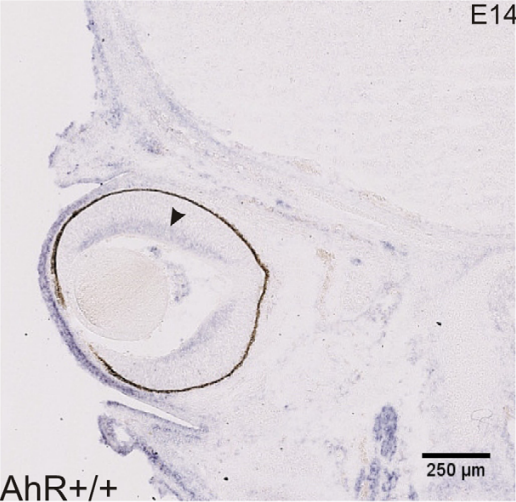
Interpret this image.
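A thin dark brown pigmented layer outlines the outer surface of the cup. Inside it the neural retina forms a thick, pale band, and along its inner side, facing the lens and vitreous space, runs a narrower purple-stained band where the ganglion cells lie; an arrowhead points to it. The lens is a large round pale body in the cup's opening. Around the eye lies loose pale mesenchyme, and purple staining also marks the surface epithelium of the folds in front of the eye.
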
